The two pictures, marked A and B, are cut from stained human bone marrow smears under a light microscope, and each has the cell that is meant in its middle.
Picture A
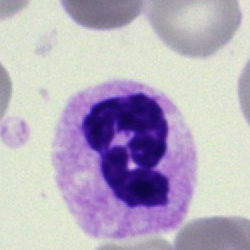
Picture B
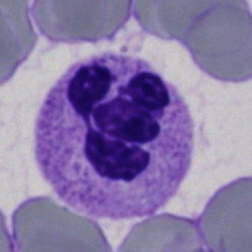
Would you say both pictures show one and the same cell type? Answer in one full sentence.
Yes, both are segmented neutrophils.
